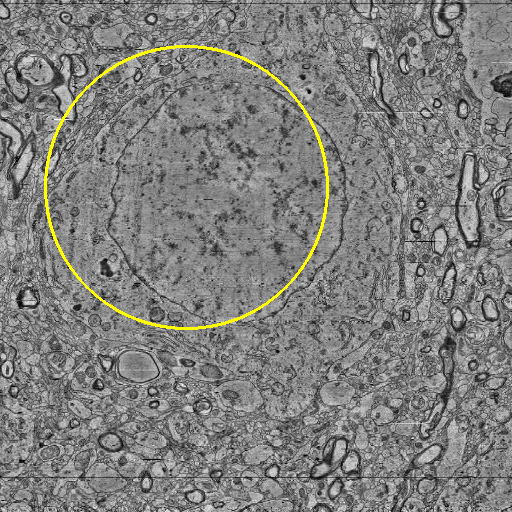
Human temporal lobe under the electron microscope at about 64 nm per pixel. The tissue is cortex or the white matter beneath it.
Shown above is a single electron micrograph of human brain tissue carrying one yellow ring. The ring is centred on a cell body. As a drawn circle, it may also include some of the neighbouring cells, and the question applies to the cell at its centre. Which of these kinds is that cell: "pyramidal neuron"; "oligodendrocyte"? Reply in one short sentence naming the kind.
The cell marked by the ring is a pyramidal neuron.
